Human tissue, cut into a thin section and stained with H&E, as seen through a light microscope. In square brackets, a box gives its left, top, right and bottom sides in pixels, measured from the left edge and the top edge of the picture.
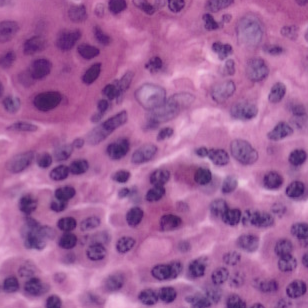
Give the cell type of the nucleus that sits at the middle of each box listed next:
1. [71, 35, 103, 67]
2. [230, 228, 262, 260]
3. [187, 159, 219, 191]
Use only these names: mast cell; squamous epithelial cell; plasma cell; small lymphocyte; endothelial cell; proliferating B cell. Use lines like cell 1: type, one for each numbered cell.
cell 1: squamous epithelial cell
cell 2: plasma cell
cell 3: plasma cell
